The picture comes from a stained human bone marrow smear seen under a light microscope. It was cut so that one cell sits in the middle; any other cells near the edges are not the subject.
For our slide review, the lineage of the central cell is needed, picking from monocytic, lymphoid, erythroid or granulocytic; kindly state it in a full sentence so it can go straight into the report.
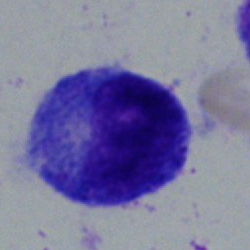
To the granulocytic lineage belongs the cell in the middle of the crop.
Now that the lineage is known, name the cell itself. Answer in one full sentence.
What sits at the centre of this crop is a promyelocyte.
